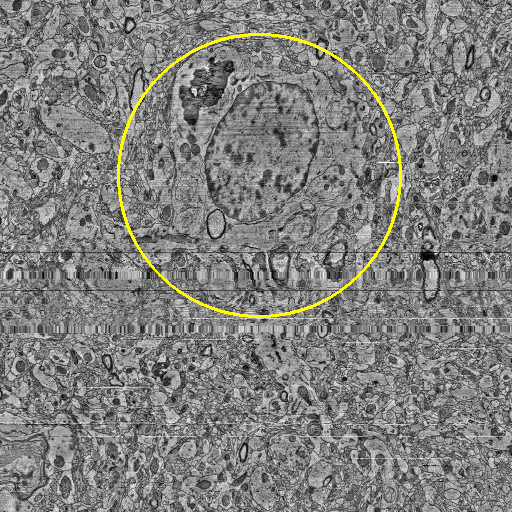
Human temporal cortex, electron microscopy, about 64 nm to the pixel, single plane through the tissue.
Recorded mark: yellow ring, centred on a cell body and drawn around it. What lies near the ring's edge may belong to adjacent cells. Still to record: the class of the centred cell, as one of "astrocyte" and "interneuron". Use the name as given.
astrocyte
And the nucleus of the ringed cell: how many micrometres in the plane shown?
The nucleus comes to roughly 10 by 7 micrometres in this plane.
